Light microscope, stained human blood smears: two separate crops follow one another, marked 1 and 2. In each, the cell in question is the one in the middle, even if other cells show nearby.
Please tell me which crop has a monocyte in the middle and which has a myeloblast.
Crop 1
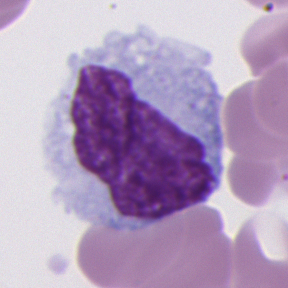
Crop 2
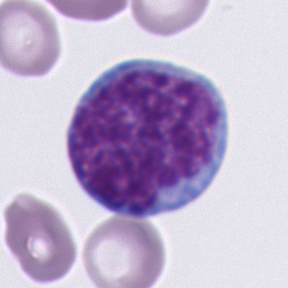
1: monocyte
2: myeloblast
